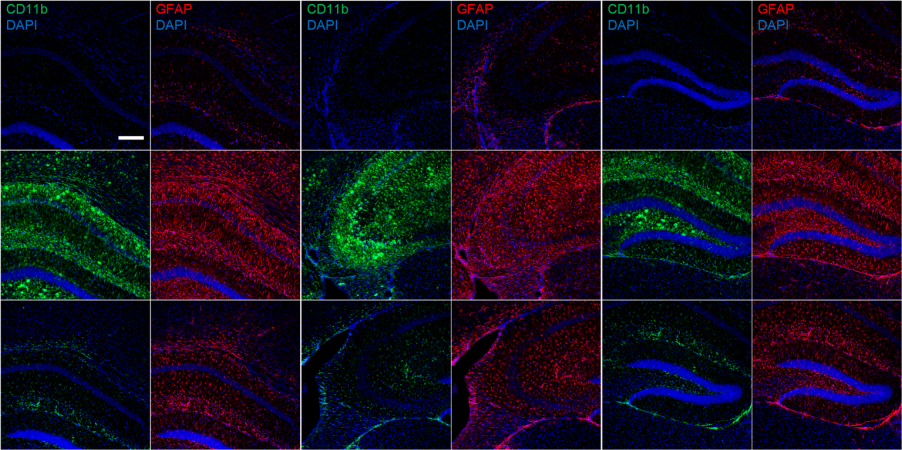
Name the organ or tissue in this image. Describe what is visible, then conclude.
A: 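Dense curved bands of blue nuclei run through each tile. A V-shaped band of packed nuclei encloses a less dense region in the right-hand tiles. On this evidence: hippocampus.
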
